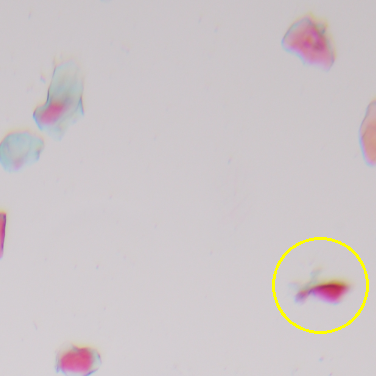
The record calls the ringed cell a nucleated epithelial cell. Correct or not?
Correct; it is a nucleated epithelial cell.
